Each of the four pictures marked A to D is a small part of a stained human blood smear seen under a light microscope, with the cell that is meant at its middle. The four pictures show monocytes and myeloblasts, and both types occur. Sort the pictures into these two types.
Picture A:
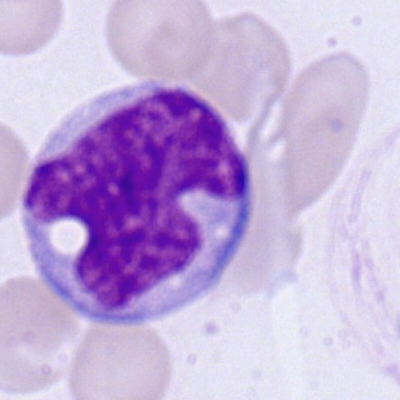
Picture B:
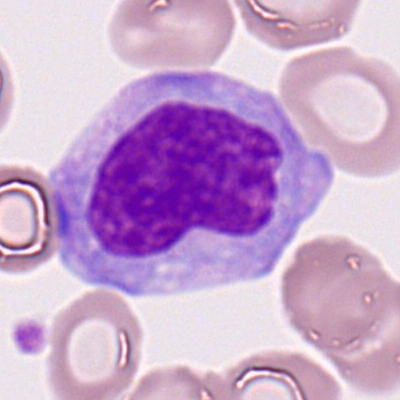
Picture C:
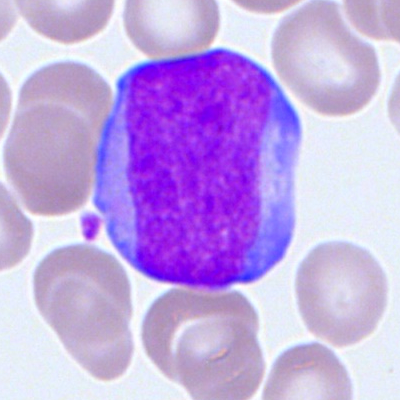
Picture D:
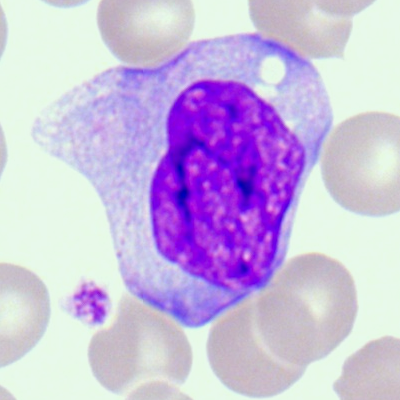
A: monocyte
B: monocyte
C: myeloblast
D: monocyte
